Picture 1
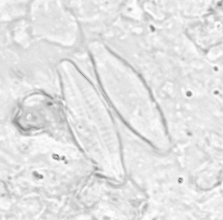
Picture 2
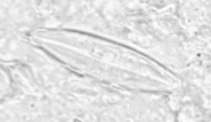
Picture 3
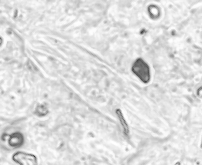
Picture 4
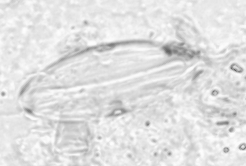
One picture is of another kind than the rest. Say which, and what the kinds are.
Picture 4 shows Halamphora; the rest show Achnanthidium.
